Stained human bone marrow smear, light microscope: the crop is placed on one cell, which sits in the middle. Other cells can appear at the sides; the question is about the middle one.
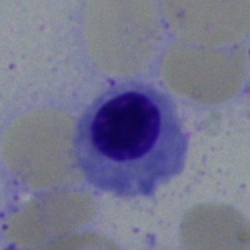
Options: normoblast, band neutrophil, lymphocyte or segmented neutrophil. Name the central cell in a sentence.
The identification for the central cell is a normoblast.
